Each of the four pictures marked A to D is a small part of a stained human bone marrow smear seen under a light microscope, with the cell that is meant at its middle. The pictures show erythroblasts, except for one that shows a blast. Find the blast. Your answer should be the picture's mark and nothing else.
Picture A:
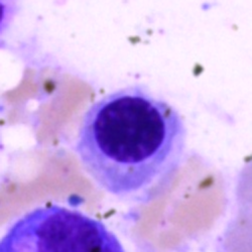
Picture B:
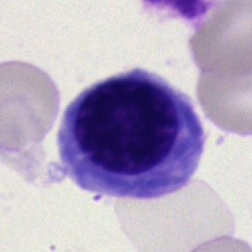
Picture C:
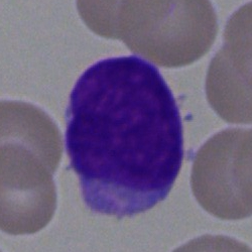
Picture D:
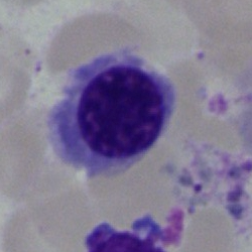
C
